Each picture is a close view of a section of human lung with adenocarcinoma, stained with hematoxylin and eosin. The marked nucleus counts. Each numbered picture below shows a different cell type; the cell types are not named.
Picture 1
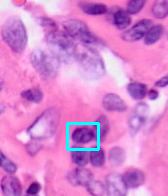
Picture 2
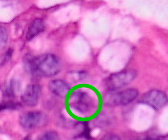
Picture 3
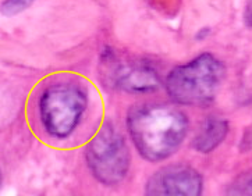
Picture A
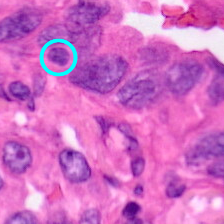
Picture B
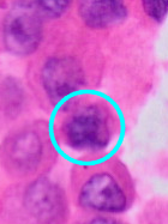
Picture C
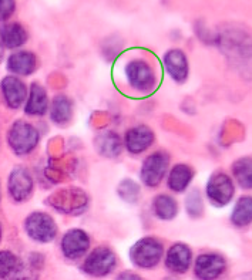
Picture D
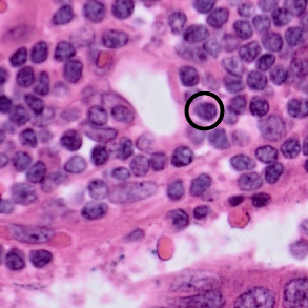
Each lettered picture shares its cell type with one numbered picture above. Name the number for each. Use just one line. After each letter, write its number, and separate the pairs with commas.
A 1, B 3, C 1, D 1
